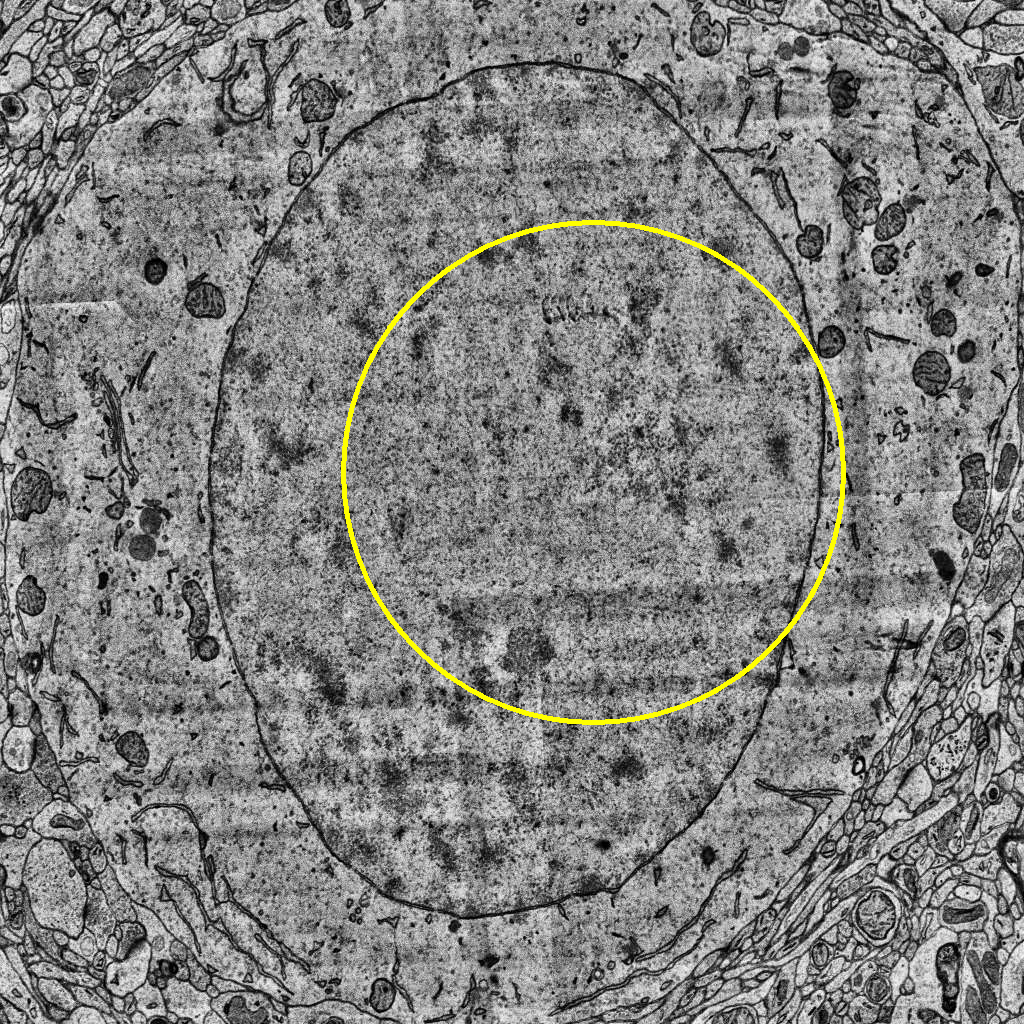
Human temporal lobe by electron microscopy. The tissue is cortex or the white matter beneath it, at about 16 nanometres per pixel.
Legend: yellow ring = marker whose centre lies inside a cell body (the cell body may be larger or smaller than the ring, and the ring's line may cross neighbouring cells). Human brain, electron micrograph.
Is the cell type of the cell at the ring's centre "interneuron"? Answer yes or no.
no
